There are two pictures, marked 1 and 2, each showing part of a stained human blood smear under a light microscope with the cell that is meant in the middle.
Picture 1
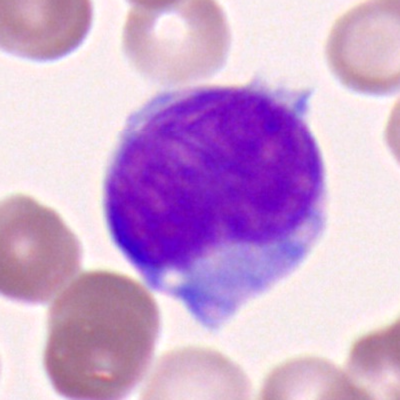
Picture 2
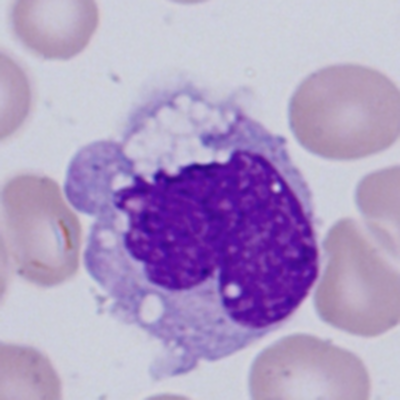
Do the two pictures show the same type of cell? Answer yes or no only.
no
